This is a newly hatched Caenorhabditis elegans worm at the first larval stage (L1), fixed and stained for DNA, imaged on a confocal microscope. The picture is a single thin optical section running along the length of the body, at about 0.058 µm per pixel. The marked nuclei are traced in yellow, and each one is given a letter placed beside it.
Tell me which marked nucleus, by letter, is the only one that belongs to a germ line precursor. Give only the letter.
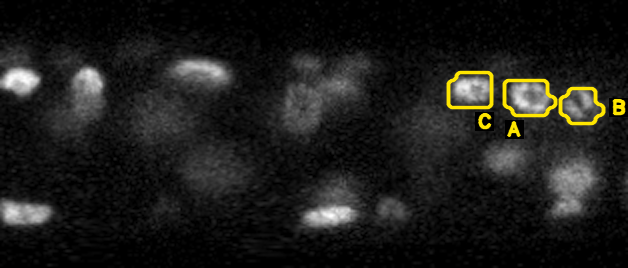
B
